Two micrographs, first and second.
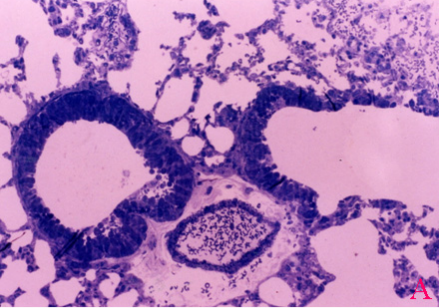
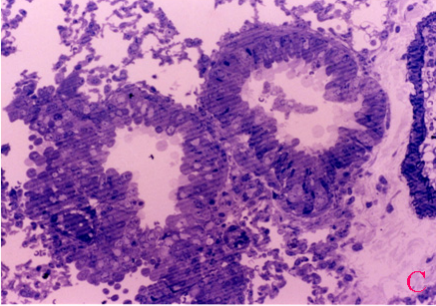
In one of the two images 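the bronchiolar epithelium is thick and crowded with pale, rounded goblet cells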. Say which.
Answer: the second image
